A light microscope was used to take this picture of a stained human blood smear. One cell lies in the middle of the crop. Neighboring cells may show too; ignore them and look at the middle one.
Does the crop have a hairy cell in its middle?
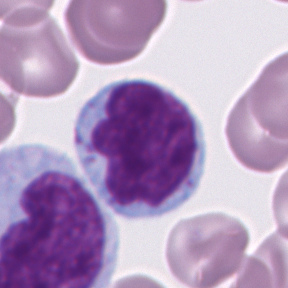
no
